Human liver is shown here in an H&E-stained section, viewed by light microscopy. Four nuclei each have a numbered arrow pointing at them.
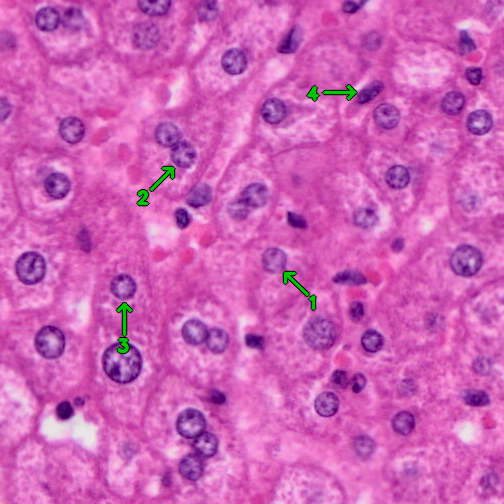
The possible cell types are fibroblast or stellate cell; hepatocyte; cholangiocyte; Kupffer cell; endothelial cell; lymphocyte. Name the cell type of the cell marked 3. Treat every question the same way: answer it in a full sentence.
Cell 3 should be recorded as a hepatocyte.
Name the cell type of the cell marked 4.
The cell identified by number 4 is a Kupffer cell.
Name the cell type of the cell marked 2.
The correct answer for cell 2 is a hepatocyte.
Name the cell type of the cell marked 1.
Here the cell numbered 1 is a hepatocyte.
